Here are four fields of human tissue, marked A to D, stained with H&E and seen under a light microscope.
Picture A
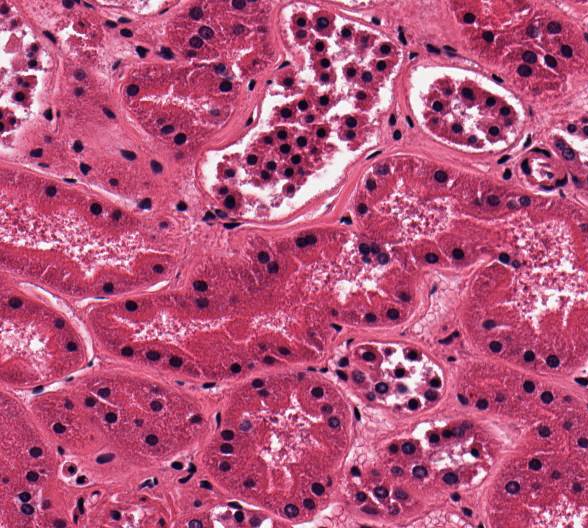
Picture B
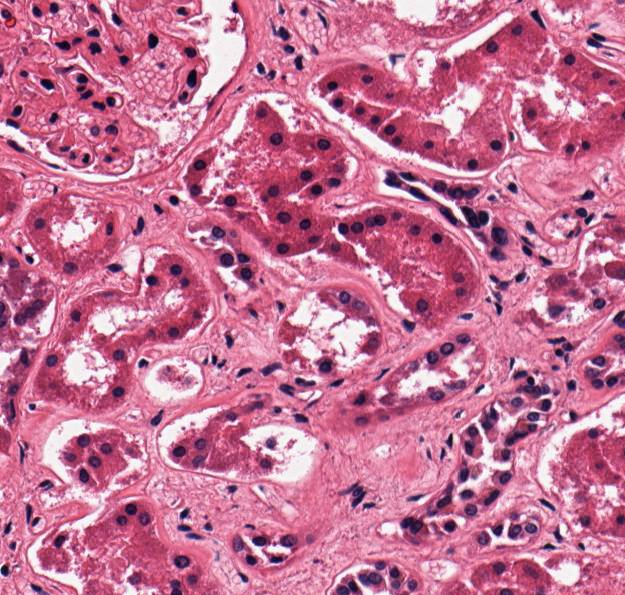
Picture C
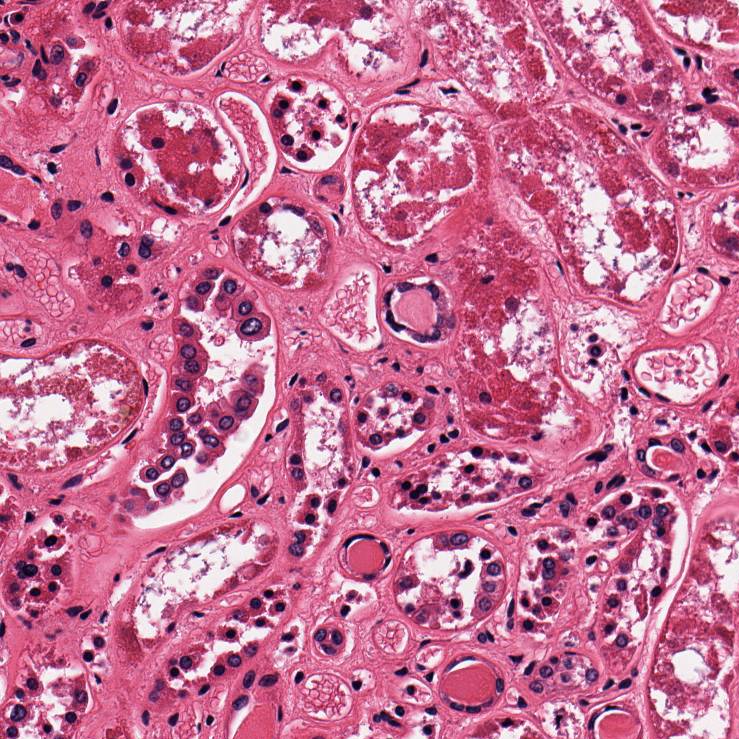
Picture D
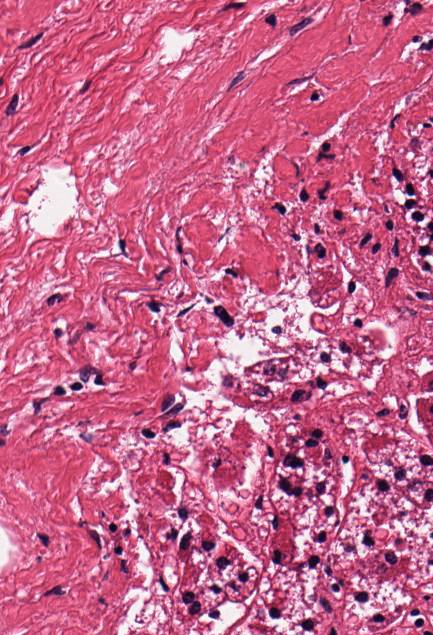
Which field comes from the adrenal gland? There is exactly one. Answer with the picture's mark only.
D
